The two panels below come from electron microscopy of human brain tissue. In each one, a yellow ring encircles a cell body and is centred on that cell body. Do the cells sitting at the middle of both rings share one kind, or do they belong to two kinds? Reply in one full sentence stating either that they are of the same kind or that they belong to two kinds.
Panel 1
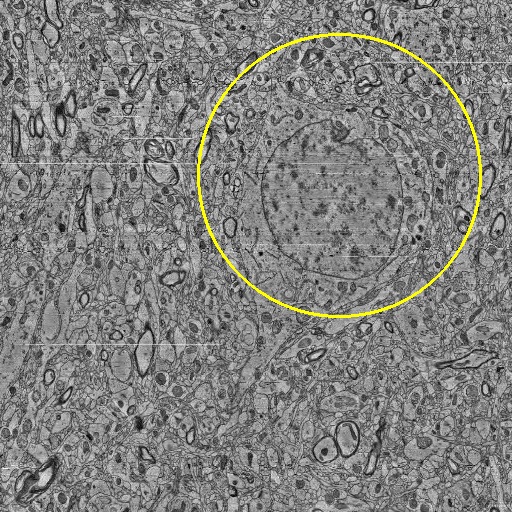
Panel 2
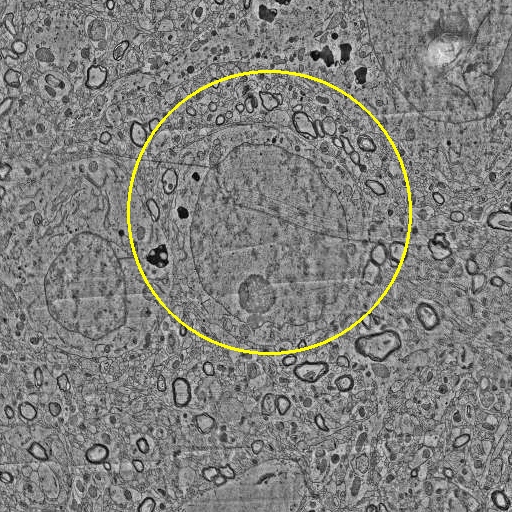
The cells at the centres of the two rings are of the same kind.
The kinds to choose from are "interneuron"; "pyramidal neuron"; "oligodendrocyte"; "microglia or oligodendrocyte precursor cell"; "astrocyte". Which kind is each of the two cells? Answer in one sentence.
Each of the two rings is centred on a pyramidal neuron.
